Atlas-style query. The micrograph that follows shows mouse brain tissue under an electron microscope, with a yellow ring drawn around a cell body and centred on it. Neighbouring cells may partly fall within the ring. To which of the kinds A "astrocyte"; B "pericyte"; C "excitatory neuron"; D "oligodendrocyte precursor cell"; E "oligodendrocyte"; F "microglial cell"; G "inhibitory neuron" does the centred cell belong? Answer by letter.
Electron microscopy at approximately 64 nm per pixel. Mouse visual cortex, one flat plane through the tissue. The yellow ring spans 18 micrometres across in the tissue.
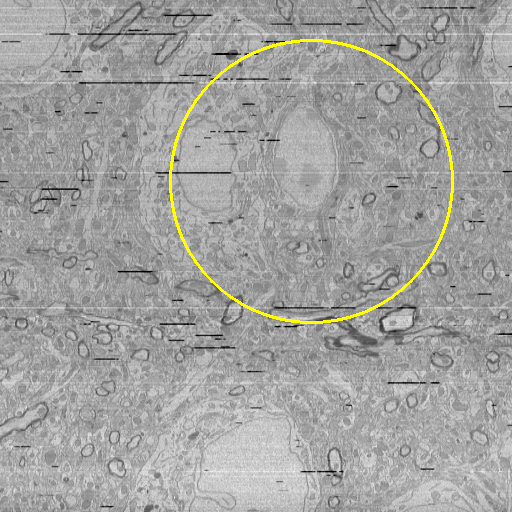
D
